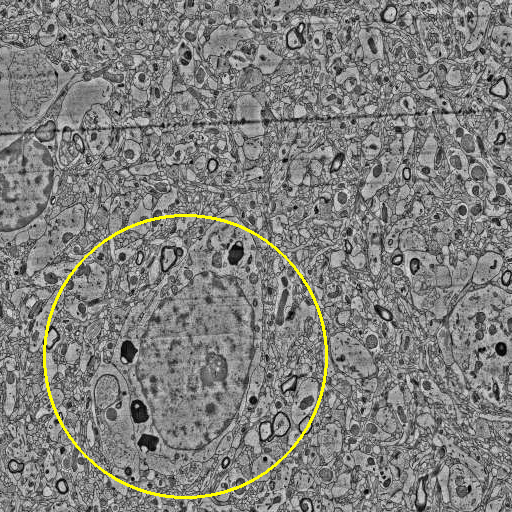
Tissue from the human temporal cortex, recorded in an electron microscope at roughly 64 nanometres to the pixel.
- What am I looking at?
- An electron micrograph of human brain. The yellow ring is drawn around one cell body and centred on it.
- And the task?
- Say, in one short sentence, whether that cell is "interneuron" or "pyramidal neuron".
The cell in the middle of the ring is an interneuron.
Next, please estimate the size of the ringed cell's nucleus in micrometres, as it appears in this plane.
The nucleus is approximately 12 micrometres long but only about 7 wide, clearly longer than it is wide in this plane.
